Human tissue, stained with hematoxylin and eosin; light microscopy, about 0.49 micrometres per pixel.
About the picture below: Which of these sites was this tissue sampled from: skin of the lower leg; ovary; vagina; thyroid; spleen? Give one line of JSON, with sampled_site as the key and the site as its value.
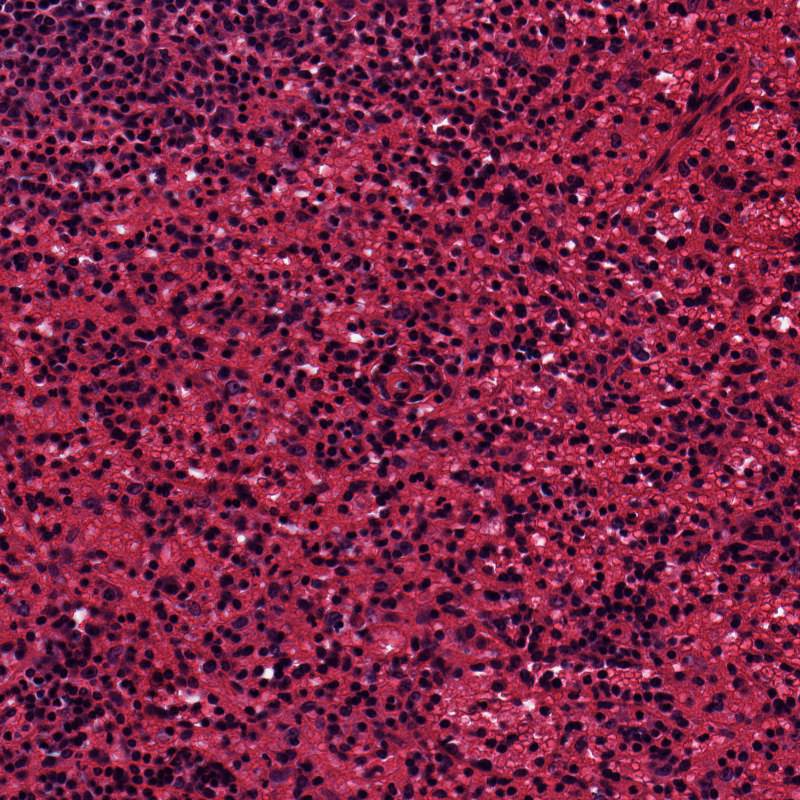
{"sampled_site": "spleen"}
